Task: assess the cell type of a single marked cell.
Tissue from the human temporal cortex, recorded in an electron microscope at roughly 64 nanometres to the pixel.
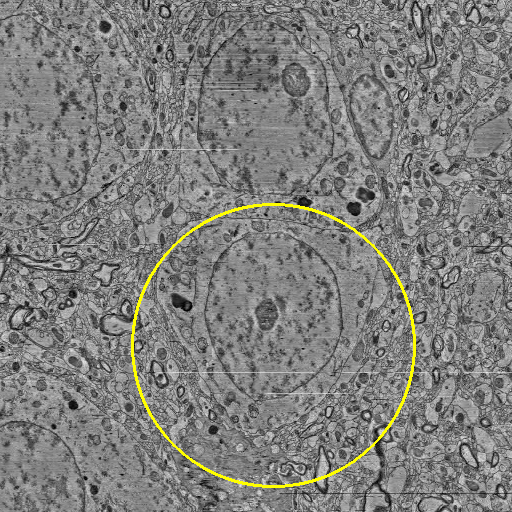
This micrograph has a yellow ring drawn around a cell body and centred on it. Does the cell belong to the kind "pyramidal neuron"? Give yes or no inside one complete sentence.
Yes, the marked cell at the centre of the ring belongs to that kind.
